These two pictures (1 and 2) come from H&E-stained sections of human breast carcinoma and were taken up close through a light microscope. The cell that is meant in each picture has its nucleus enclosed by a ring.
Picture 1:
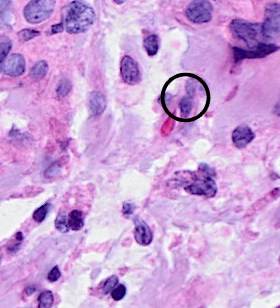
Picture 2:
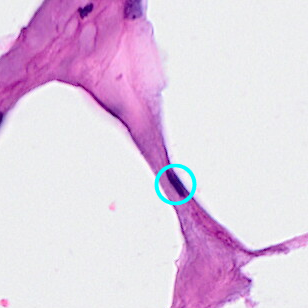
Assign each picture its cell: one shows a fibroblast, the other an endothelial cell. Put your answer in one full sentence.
Picture 2 shows a fibroblast, while picture 1 shows an endothelial cell.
